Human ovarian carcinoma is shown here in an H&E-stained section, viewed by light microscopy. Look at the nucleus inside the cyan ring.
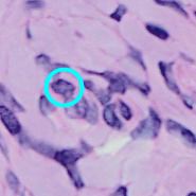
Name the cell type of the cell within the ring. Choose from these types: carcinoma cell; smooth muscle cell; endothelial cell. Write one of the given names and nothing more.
endothelial cell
